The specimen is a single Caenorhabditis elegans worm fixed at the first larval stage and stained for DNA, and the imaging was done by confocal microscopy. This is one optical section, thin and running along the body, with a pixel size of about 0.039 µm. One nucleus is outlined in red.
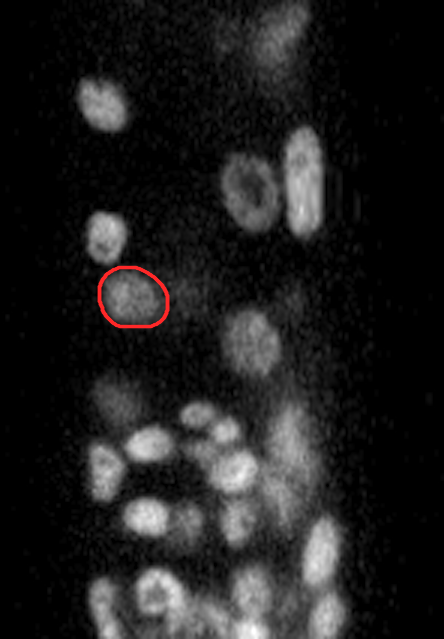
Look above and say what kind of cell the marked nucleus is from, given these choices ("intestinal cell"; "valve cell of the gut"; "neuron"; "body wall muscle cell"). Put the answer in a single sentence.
It is the nucleus of an intestinal cell.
